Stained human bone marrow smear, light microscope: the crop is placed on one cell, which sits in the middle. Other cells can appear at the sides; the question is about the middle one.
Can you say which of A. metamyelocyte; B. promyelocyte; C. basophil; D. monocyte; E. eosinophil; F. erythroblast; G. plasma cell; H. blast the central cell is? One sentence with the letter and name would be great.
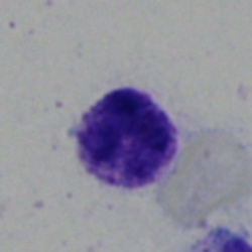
Option C, which names the central cell as a basophil, is correct.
